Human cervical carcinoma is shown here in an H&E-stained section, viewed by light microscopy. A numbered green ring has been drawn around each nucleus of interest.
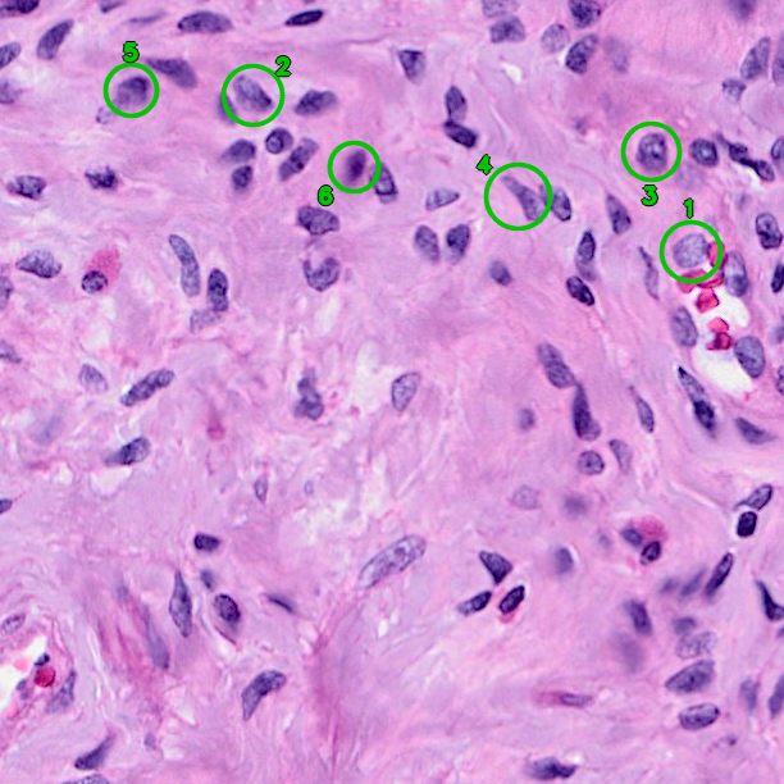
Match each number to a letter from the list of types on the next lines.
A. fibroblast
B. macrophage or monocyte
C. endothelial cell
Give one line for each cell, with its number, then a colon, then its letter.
1: C
2: A
3: C
4: A
5: A
6: A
